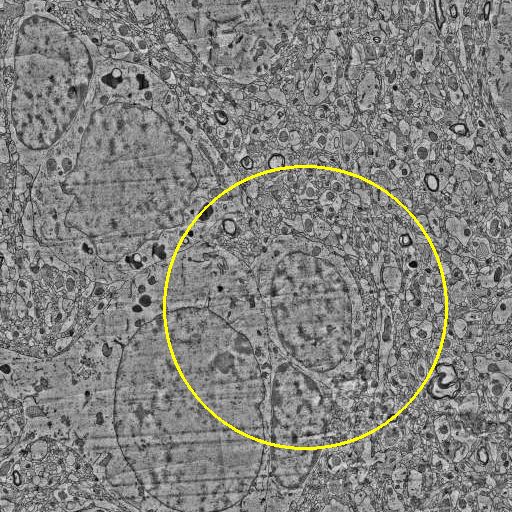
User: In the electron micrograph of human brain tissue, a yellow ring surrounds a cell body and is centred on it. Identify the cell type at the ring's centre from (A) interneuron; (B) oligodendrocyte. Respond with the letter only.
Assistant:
A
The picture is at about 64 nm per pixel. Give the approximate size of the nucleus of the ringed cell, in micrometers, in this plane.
In this plane the nucleus is clearly longer than it is wide, at approximately 8 by 5 micrometres.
